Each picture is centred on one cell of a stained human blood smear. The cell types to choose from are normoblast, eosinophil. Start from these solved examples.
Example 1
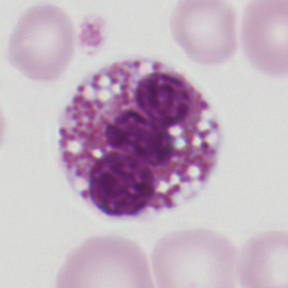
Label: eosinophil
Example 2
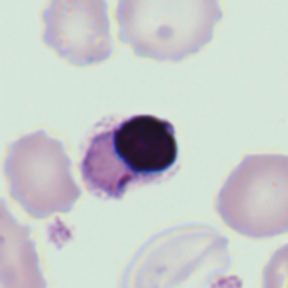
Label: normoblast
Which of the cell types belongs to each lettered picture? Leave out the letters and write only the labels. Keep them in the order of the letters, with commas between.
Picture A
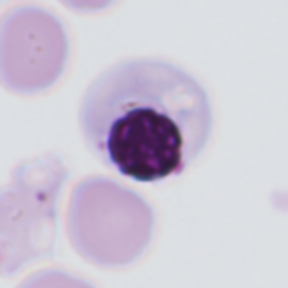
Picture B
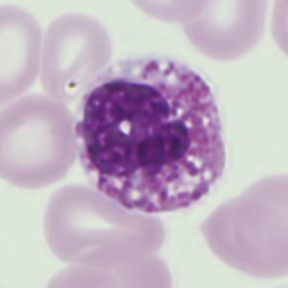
normoblast, eosinophil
